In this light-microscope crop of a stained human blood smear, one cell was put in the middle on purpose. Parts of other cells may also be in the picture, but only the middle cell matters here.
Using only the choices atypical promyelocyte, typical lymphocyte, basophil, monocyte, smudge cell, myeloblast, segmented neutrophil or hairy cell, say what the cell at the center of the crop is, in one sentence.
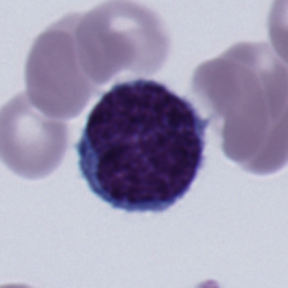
The central cell shown in this smear crop is a typical lymphocyte.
